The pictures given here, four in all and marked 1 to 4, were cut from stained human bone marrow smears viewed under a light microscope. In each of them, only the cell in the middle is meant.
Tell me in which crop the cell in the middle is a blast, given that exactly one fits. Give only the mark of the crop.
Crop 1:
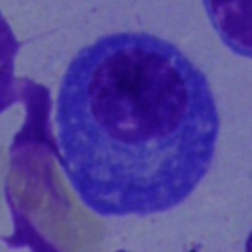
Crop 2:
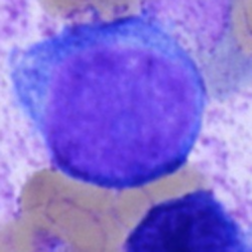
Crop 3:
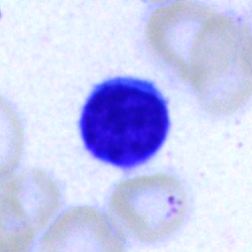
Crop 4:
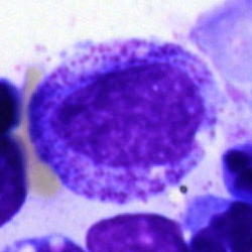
2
